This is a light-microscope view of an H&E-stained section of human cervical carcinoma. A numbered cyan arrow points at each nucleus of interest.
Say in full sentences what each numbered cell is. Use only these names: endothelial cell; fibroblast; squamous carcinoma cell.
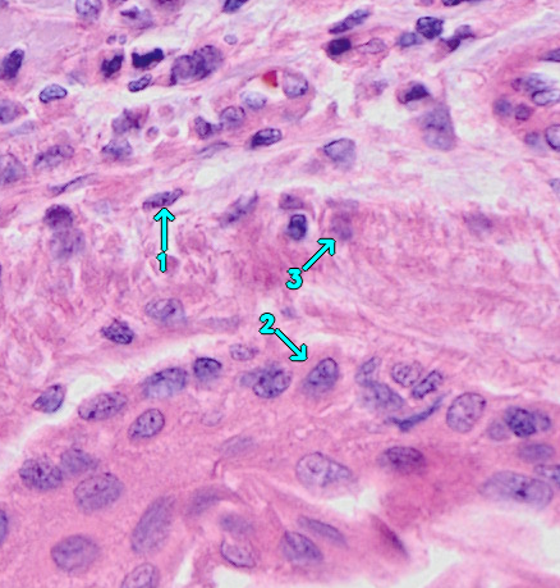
Cells 1 and 3 are fibroblasts. Cell 2 is a squamous carcinoma cell.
